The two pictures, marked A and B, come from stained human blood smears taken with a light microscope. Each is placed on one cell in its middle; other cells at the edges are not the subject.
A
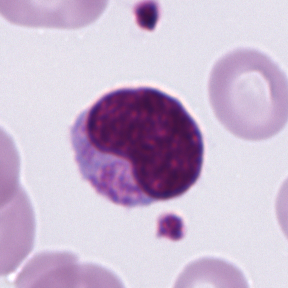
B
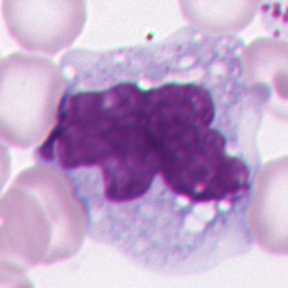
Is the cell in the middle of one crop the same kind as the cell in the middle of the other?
no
